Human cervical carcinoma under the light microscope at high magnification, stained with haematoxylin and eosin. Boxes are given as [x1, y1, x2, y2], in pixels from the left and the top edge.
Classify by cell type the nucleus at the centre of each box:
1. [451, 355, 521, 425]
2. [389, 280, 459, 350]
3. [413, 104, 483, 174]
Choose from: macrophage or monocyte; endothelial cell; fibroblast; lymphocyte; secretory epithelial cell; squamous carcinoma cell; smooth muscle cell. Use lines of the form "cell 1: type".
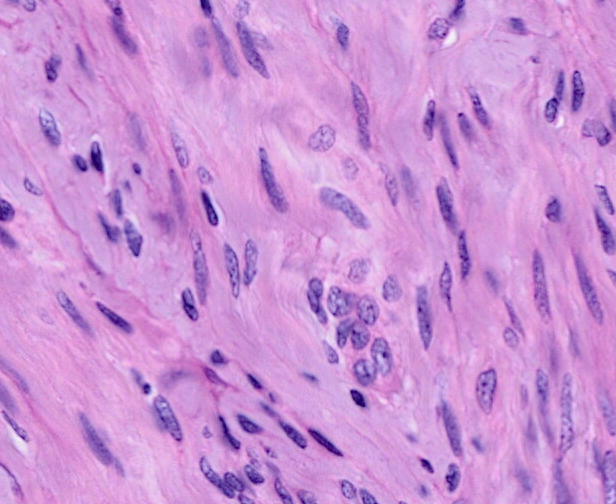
cell 1: smooth muscle cell
cell 2: fibroblast
cell 3: fibroblast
